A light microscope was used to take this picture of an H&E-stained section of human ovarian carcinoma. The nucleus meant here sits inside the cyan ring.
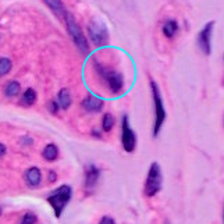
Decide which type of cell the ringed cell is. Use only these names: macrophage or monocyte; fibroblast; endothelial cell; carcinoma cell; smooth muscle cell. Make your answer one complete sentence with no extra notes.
The identity of the ringed cell is that of a smooth muscle cell.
